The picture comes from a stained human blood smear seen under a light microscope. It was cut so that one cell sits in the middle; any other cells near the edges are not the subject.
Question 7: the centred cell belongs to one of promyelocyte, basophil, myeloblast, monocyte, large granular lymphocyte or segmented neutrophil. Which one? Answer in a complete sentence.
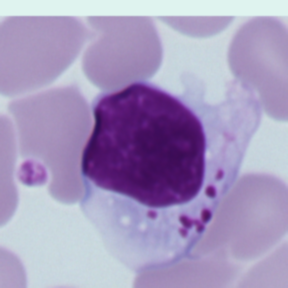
The middle cell in this particular crop is a large granular lymphocyte.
